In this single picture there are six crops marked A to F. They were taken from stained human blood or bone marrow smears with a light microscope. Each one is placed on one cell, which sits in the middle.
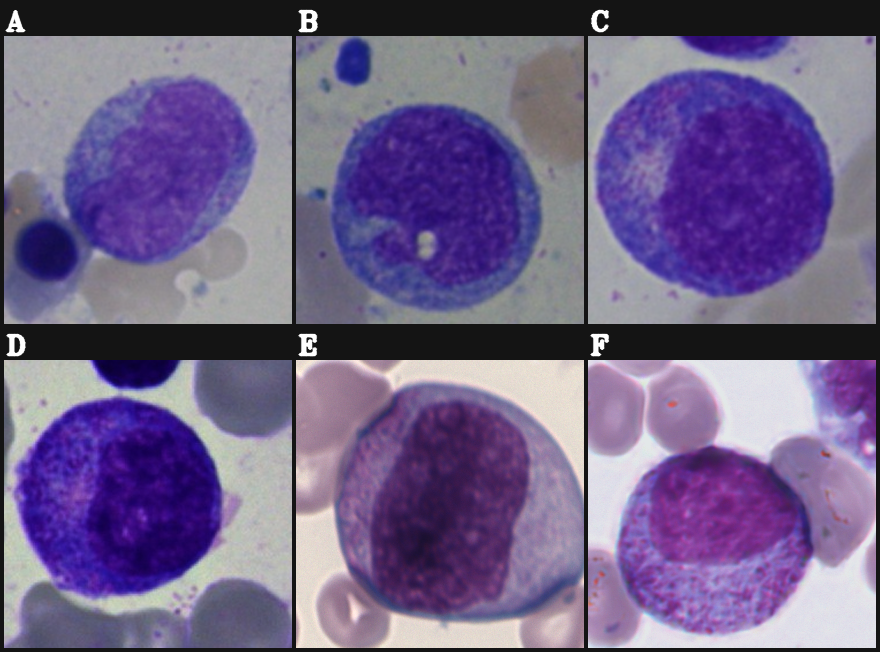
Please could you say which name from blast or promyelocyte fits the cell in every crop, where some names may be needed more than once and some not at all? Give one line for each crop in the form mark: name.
A: blast
B: blast
C: promyelocyte
D: promyelocyte
E: promyelocyte
F: promyelocyte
